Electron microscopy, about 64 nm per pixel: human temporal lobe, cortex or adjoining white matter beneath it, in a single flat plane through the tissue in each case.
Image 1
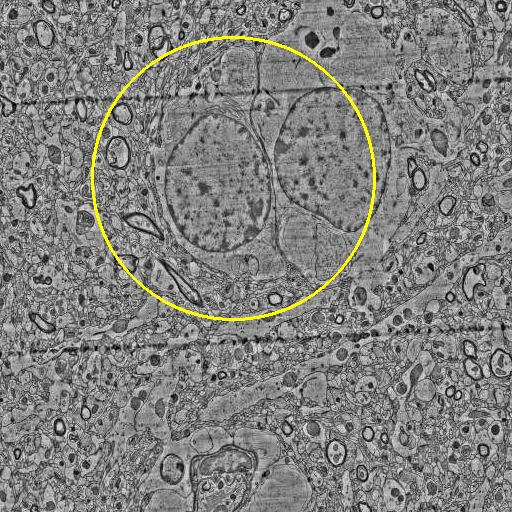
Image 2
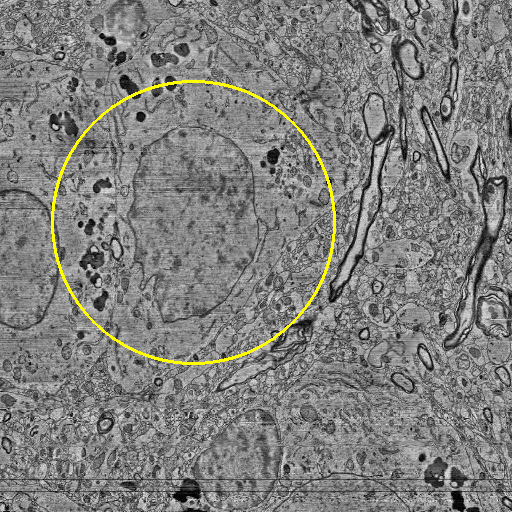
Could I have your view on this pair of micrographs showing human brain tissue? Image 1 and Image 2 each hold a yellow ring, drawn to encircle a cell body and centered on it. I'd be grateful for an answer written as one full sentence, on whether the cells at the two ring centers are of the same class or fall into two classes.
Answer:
The cells at the centers of the two rings fall into two classes.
